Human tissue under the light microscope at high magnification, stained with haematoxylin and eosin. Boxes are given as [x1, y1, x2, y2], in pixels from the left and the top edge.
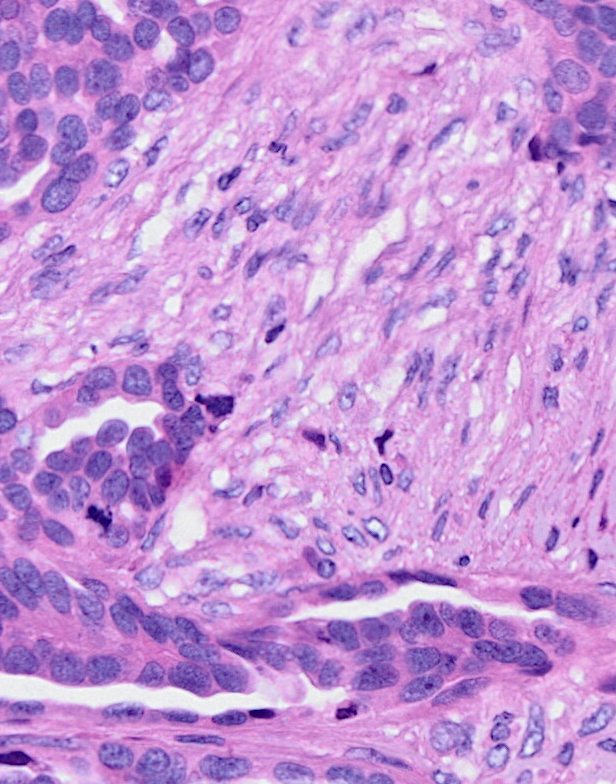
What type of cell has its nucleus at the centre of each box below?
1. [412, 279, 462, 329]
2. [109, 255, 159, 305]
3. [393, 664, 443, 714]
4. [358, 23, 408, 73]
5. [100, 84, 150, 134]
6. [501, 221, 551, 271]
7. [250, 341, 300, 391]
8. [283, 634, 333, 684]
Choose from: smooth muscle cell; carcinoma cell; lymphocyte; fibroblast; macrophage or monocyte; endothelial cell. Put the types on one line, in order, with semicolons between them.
fibroblast; fibroblast; carcinoma cell; fibroblast; carcinoma cell; fibroblast; fibroblast; carcinoma cell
